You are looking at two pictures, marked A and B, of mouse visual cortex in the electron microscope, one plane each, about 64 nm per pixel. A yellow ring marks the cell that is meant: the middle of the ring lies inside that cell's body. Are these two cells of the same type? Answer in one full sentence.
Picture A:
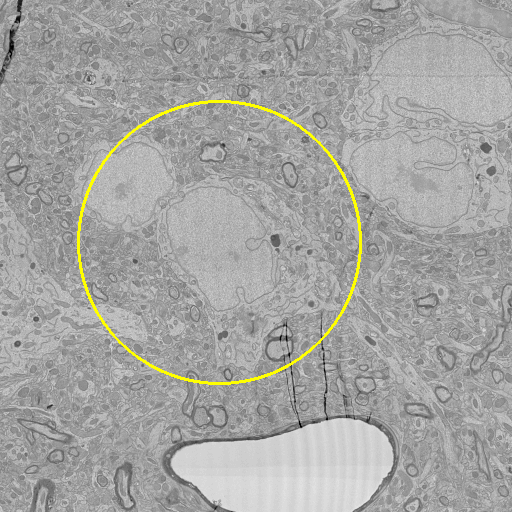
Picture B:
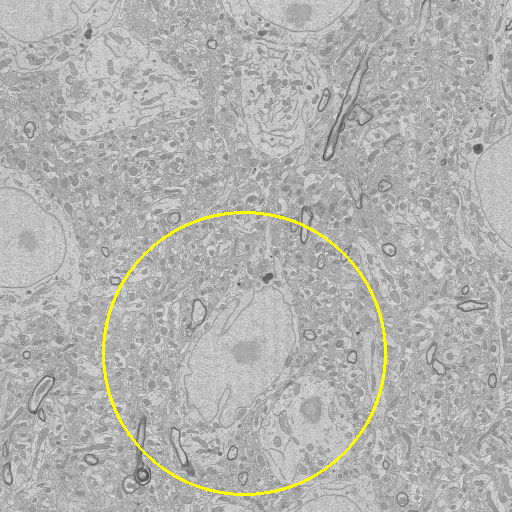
Yes, the two pictures both show inhibitory neurons.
